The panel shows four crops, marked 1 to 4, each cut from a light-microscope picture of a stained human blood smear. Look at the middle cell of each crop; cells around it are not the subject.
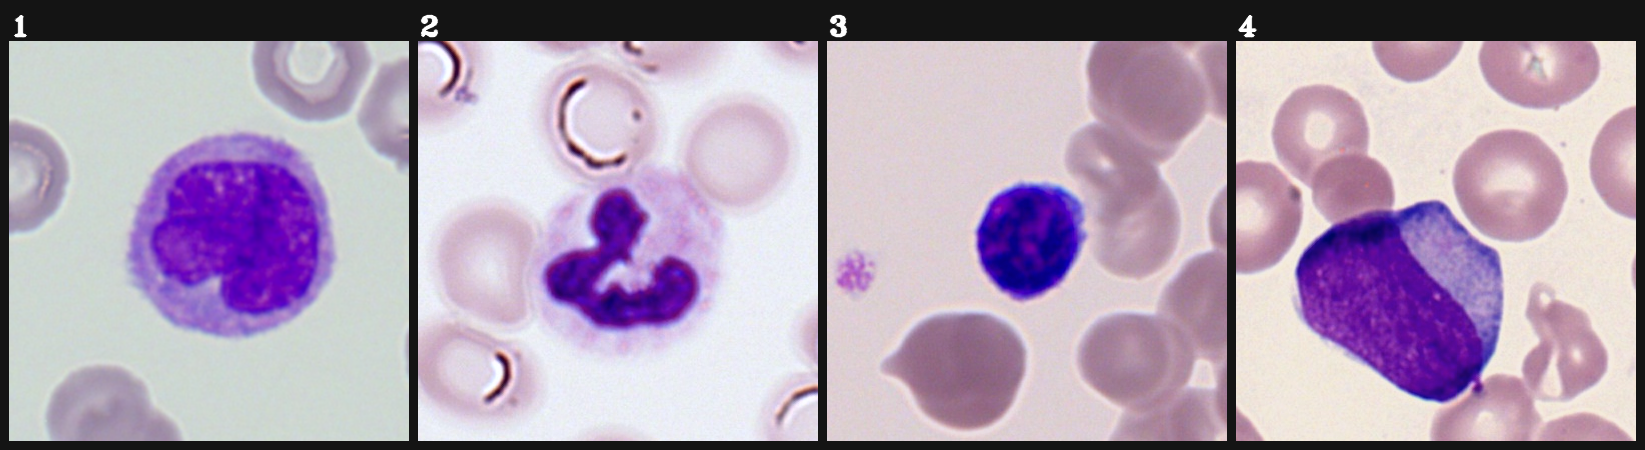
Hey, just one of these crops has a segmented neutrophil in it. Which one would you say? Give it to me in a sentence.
In the set of crops, crop 2 is the one that contains a segmented neutrophil.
